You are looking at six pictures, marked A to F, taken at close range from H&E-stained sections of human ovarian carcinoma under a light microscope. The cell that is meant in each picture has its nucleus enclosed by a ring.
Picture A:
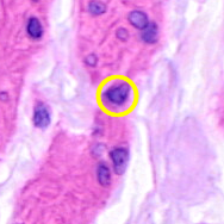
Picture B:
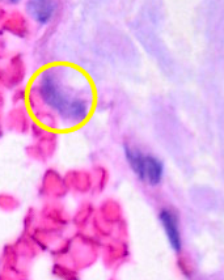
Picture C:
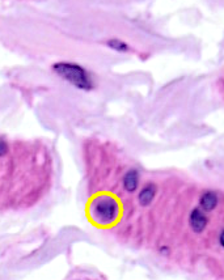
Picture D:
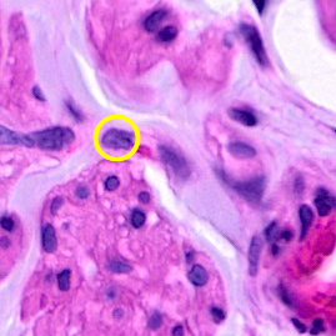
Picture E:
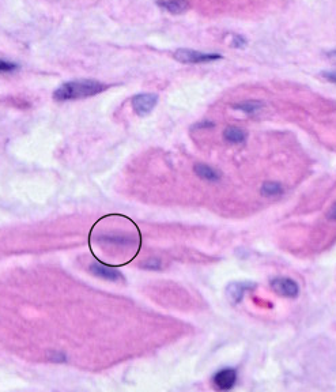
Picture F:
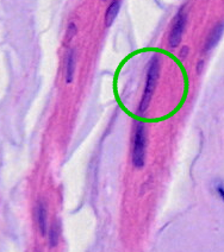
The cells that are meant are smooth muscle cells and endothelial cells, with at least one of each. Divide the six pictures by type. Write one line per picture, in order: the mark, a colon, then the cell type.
A: smooth muscle cell
B: endothelial cell
C: smooth muscle cell
D: endothelial cell
E: smooth muscle cell
F: smooth muscle cell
